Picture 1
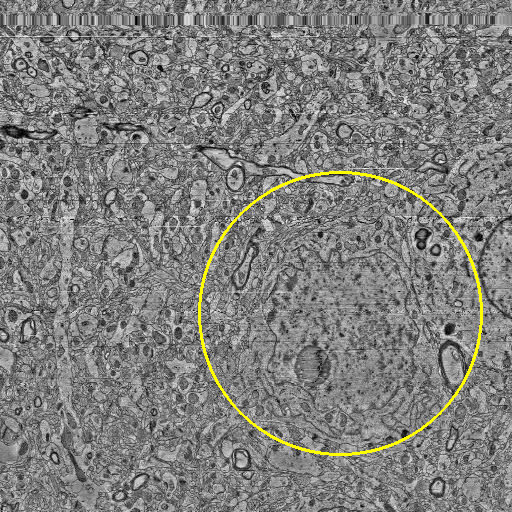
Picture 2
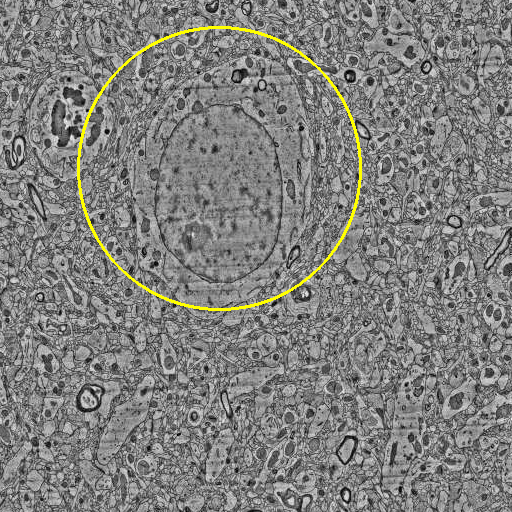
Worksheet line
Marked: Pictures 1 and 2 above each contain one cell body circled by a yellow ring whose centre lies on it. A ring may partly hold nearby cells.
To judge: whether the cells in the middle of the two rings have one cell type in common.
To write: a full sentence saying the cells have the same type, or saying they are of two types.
The cells in the middle of the rings in Picture 1 and Picture 2 are of two types.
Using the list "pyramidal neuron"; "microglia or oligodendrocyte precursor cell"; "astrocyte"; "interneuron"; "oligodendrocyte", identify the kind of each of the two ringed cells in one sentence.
The first is an interneuron and the second is a pyramidal neuron.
